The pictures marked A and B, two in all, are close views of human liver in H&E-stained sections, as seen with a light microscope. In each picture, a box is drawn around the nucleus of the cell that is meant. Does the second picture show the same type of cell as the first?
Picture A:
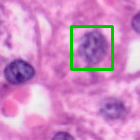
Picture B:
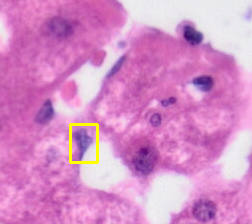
no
